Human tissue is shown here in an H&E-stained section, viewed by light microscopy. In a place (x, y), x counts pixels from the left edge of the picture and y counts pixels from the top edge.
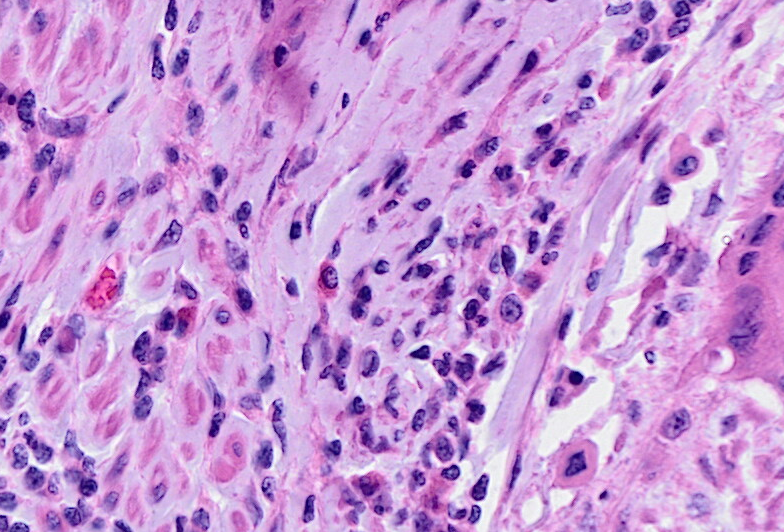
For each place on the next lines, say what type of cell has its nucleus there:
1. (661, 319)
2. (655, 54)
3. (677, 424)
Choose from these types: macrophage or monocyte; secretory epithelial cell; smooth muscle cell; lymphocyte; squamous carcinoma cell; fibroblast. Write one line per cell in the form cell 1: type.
cell 1: lymphocyte
cell 2: lymphocyte
cell 3: macrophage or monocyte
